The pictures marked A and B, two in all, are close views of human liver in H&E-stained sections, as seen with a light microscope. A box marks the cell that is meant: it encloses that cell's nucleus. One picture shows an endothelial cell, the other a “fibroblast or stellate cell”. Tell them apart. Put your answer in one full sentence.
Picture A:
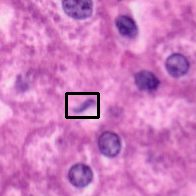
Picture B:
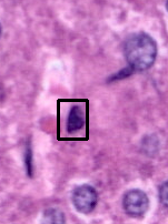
The cell in picture A is an endothelial cell, and the one in picture B is a “fibroblast or stellate cell”.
